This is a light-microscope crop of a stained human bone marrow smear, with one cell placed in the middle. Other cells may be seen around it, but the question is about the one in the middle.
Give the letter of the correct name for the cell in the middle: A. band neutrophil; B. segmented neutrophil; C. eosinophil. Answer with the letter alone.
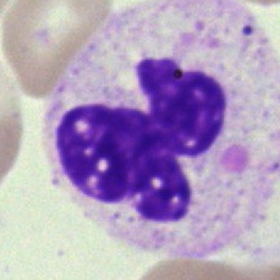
B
